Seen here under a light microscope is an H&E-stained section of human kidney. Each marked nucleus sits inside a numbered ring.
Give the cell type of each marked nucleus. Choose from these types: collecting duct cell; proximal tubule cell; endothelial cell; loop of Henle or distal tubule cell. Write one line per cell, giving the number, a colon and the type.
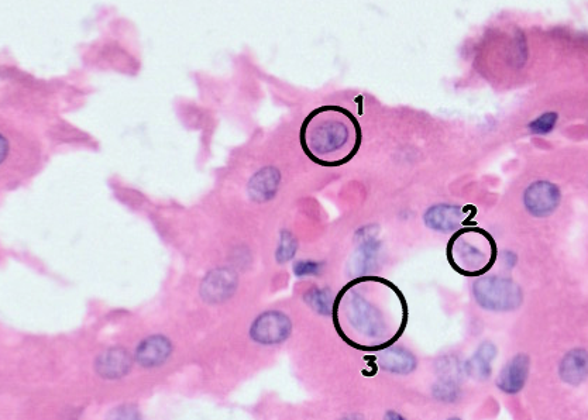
1: proximal tubule cell
2: collecting duct cell
3: collecting duct cell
